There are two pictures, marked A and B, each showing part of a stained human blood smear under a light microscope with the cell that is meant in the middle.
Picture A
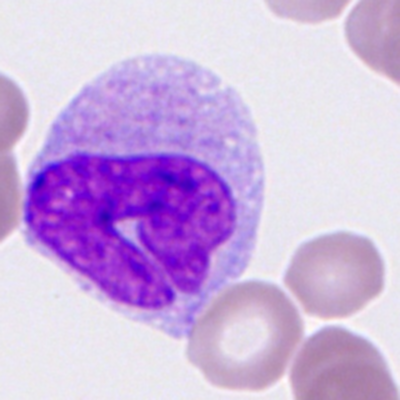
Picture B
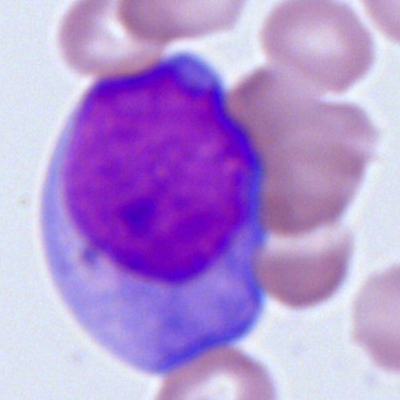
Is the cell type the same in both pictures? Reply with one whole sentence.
No. Picture A shows a monocyte, but picture B shows a myeloblast.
